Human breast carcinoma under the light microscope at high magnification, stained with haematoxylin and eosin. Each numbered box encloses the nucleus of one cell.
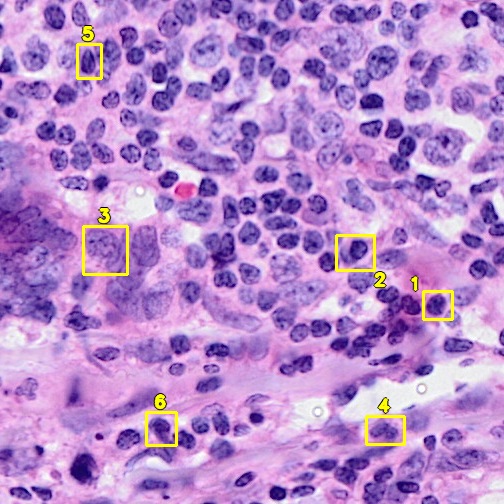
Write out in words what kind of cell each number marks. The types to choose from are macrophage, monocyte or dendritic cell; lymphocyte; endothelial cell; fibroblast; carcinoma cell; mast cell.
Cells 1, 2, 5 and 6 are lymphocytes. Cell 3 is a carcinoma cell. Cell 4 is a mast cell.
